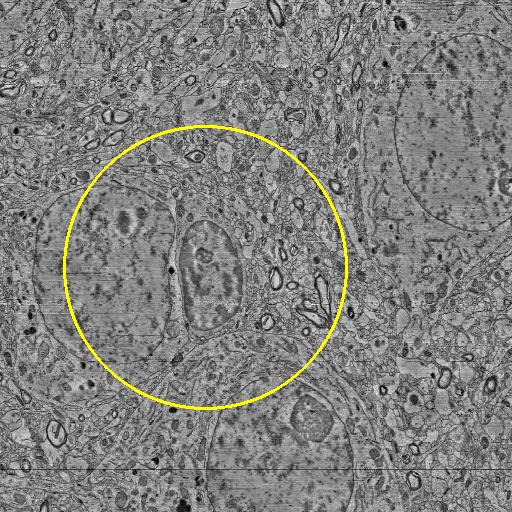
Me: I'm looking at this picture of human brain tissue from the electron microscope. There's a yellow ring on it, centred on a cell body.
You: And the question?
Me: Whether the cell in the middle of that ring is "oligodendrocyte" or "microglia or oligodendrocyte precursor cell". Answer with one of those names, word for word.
oligodendrocyte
